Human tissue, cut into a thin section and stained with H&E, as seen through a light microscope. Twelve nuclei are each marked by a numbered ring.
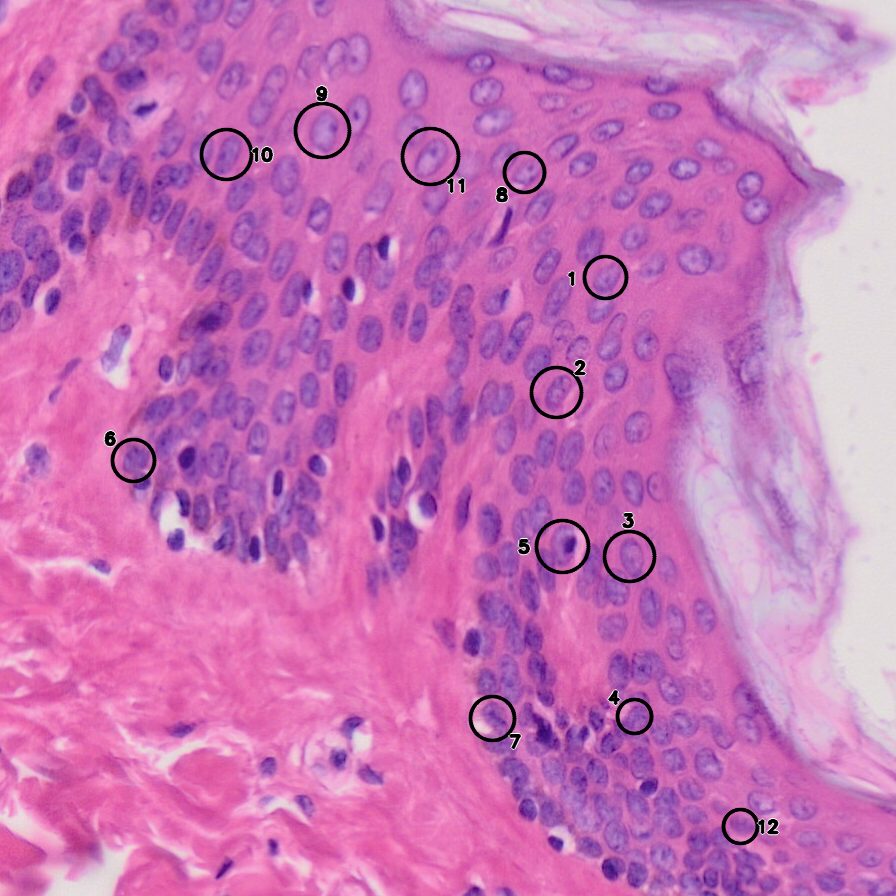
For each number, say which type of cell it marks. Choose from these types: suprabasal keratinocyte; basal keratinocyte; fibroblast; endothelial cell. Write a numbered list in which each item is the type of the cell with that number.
1. suprabasal keratinocyte
2. suprabasal keratinocyte
3. suprabasal keratinocyte
4. basal keratinocyte
5. basal keratinocyte
6. basal keratinocyte
7. basal keratinocyte
8. suprabasal keratinocyte
9. suprabasal keratinocyte
10. suprabasal keratinocyte
11. suprabasal keratinocyte
12. basal keratinocyte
